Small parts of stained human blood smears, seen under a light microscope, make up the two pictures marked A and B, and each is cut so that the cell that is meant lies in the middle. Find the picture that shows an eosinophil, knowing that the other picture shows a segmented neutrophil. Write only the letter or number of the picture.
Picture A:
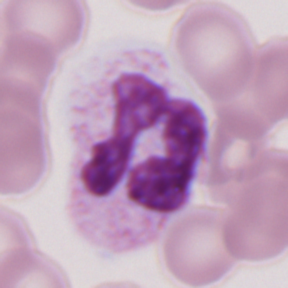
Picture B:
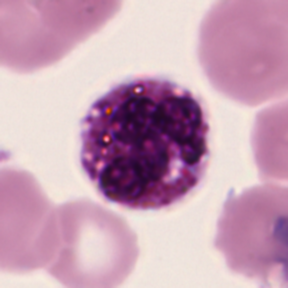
B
